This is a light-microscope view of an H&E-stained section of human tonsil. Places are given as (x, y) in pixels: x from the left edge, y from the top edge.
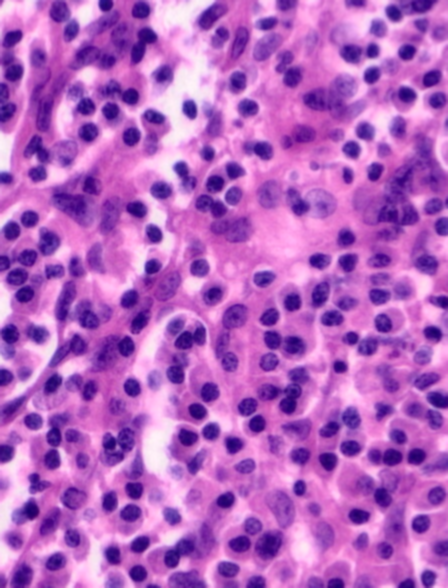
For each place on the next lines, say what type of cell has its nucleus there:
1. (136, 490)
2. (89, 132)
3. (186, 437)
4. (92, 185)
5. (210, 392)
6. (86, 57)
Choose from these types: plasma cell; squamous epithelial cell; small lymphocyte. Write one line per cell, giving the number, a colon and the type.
1: plasma cell
2: plasma cell
3: plasma cell
4: squamous epithelial cell
5: plasma cell
6: squamous epithelial cell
